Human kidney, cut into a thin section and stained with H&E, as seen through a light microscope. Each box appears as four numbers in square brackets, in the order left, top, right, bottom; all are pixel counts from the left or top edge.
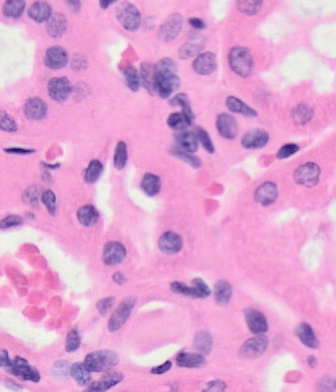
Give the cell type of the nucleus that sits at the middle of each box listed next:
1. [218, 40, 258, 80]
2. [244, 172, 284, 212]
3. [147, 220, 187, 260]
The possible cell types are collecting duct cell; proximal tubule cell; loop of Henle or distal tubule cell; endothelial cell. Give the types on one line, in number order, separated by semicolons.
proximal tubule cell; proximal tubule cell; loop of Henle or distal tubule cell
